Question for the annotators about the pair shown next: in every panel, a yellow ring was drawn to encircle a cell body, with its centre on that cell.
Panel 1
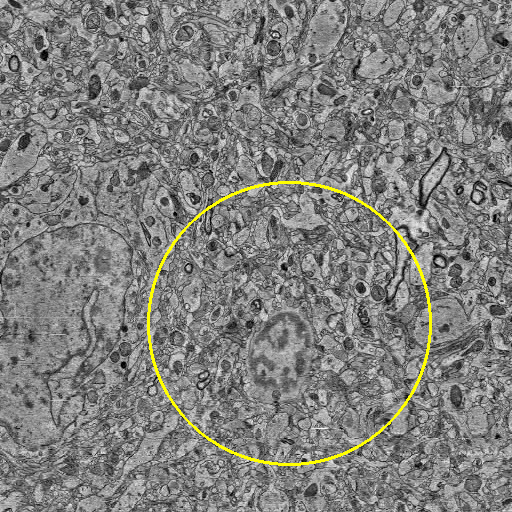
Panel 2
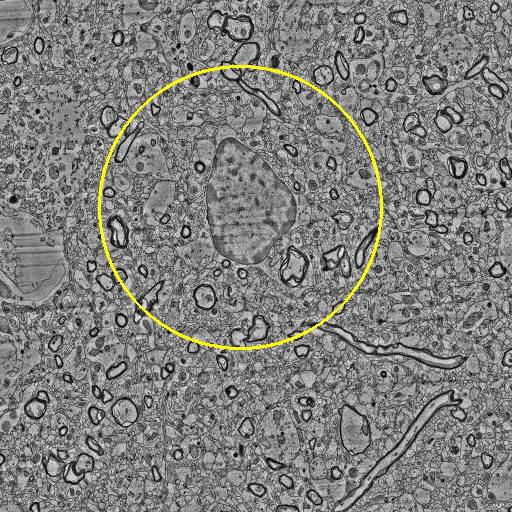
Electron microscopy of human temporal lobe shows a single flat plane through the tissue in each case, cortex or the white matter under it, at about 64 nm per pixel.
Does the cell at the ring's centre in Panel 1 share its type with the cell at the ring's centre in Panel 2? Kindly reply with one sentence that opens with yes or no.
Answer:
No, in Panels 1 and 2 the cells at the ring centres belong to separate types.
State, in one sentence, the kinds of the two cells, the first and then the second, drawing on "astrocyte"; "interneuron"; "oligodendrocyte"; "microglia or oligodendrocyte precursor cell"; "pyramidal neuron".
The ring in the second picture is centred on a microglial cell or oligodendrocyte precursor cell, the ring in the first on an oligodendrocyte.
